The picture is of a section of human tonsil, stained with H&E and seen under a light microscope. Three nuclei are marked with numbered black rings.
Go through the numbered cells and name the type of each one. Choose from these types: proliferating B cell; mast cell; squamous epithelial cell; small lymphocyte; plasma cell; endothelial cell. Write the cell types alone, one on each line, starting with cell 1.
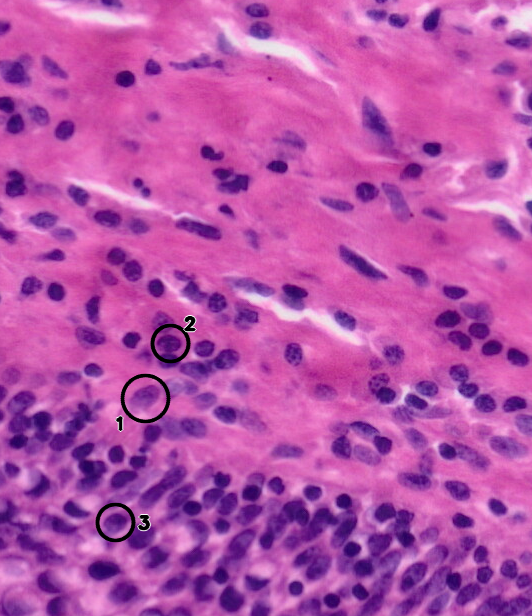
endothelial cell
plasma cell
squamous epithelial cell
